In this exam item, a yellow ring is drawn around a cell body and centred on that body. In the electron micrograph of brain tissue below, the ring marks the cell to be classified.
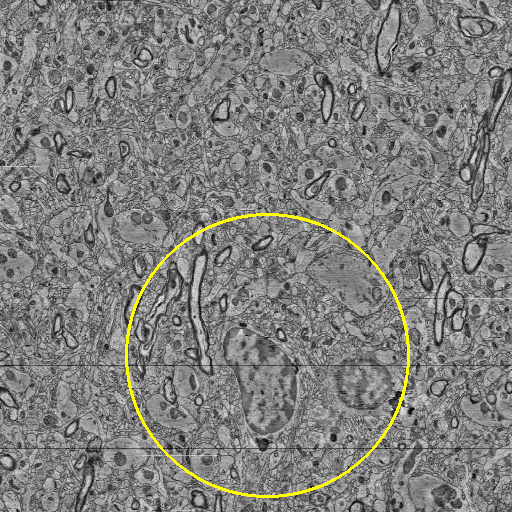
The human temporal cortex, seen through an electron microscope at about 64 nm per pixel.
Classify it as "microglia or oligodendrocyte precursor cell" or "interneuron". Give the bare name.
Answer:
microglia or oligodendrocyte precursor cell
